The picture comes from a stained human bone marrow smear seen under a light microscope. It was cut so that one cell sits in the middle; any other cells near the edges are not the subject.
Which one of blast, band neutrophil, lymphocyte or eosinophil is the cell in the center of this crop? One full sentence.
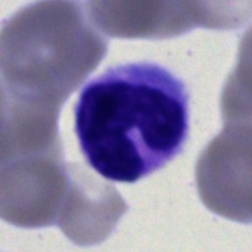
The center cell of this crop is a band neutrophil.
